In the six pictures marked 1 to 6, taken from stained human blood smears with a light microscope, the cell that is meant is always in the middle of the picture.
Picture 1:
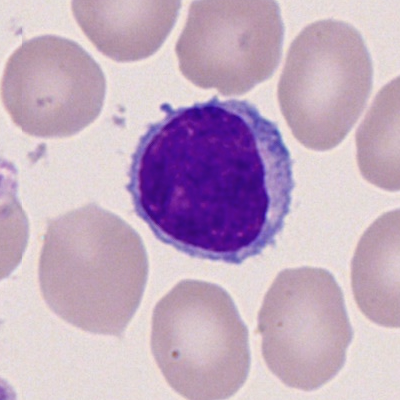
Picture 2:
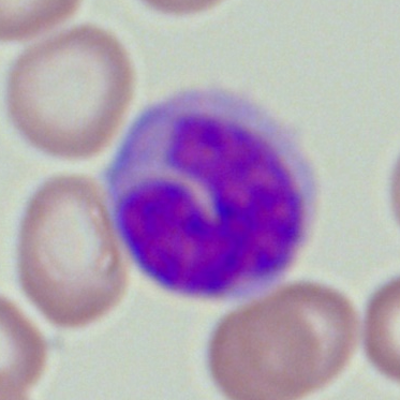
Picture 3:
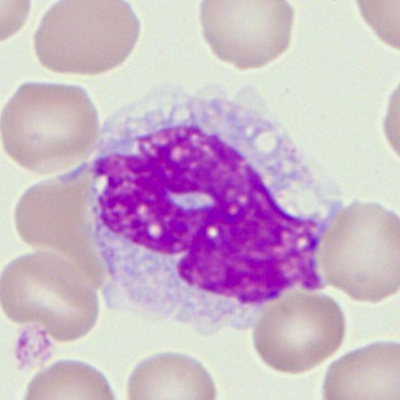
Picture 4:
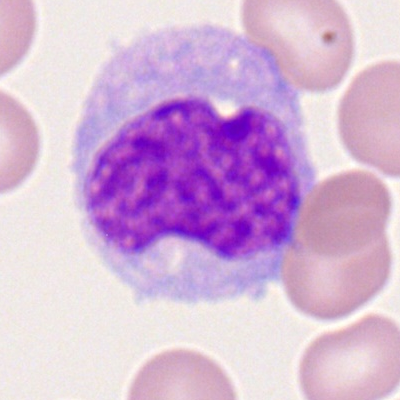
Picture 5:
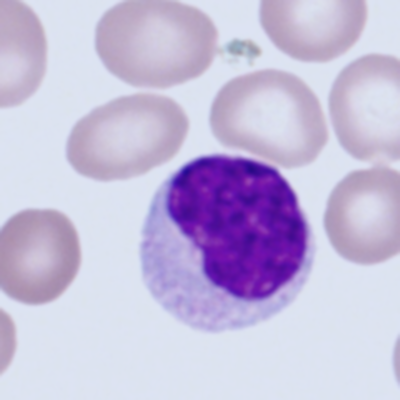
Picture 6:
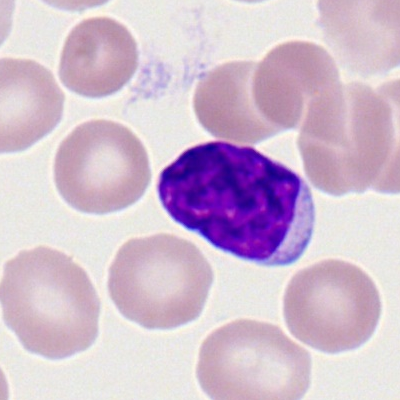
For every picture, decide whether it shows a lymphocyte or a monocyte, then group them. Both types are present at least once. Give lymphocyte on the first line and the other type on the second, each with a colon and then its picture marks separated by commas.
lymphocyte: 1, 5, 6
monocyte: 2, 3, 4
